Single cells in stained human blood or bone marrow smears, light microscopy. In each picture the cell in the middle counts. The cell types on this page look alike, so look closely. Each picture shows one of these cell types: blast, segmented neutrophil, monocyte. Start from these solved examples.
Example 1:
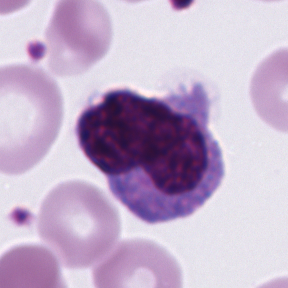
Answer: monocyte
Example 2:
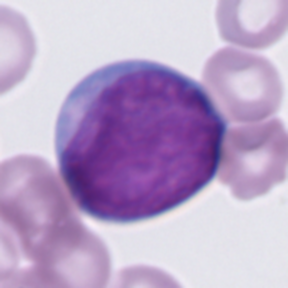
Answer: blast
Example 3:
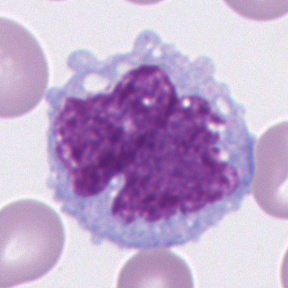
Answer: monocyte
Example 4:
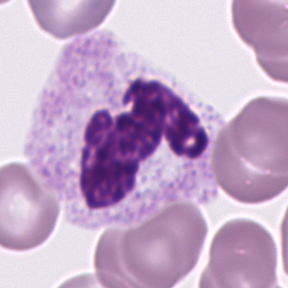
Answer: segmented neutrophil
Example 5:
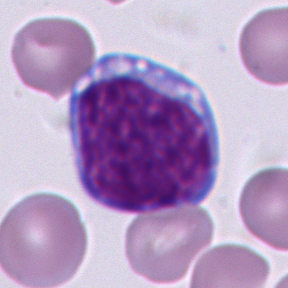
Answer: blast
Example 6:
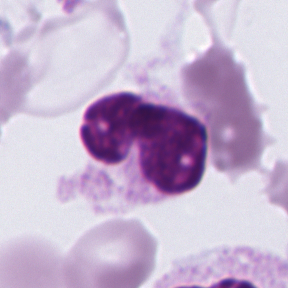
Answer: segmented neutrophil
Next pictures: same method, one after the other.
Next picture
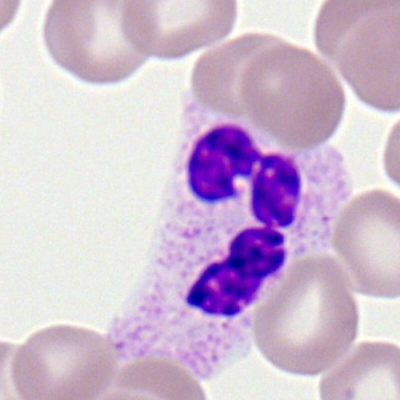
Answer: segmented neutrophil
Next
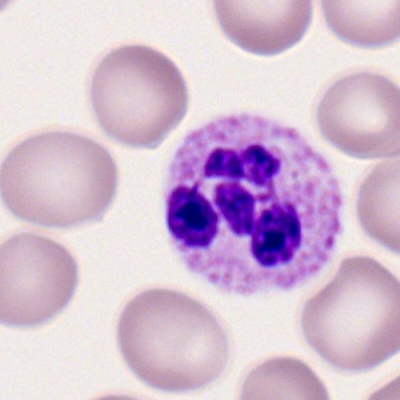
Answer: segmented neutrophil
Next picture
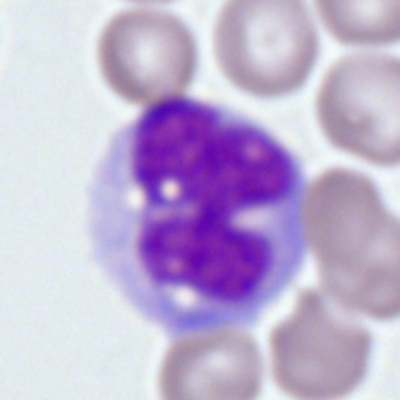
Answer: monocyte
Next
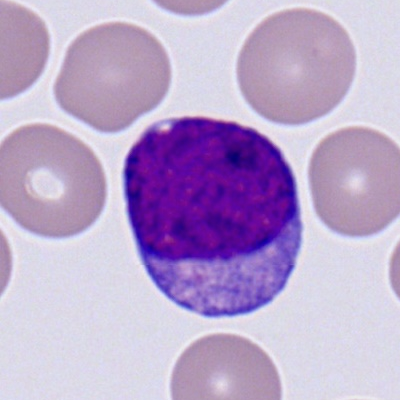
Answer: blast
